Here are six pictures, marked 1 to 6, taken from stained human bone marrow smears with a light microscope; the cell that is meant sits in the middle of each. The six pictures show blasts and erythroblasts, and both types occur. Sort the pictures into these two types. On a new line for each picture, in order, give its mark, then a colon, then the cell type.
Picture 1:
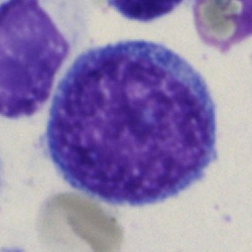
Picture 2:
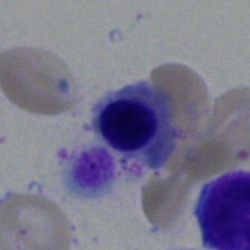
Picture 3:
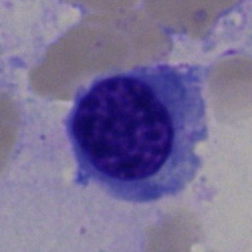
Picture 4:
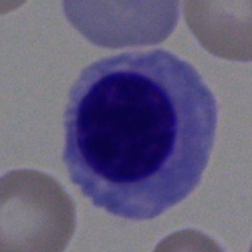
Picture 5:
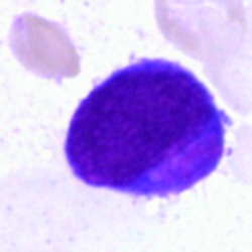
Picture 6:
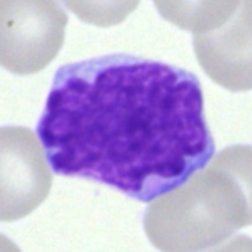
1: blast
2: erythroblast
3: erythroblast
4: erythroblast
5: blast
6: blast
